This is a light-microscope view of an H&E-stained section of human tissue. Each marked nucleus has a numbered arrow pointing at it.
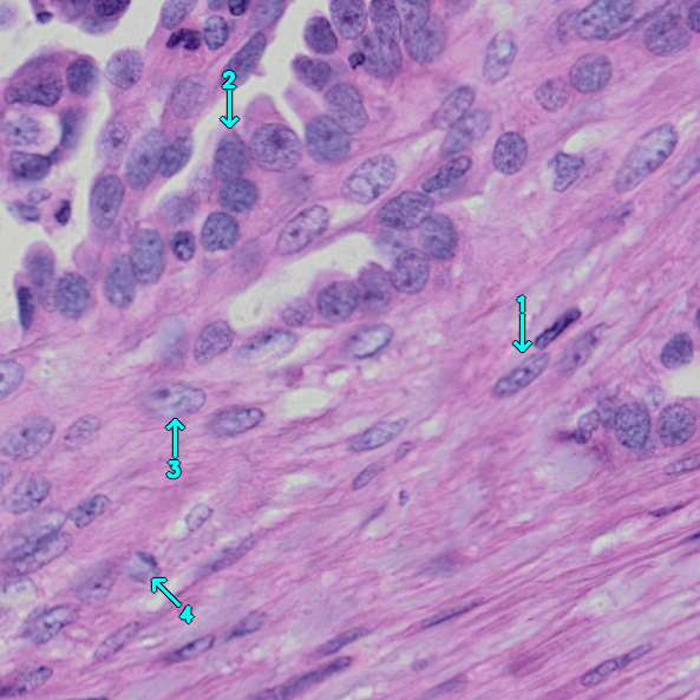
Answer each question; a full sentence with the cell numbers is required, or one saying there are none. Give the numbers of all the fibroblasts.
The cells tagged 1, 3 and 4 are fibroblasts in this tissue section.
